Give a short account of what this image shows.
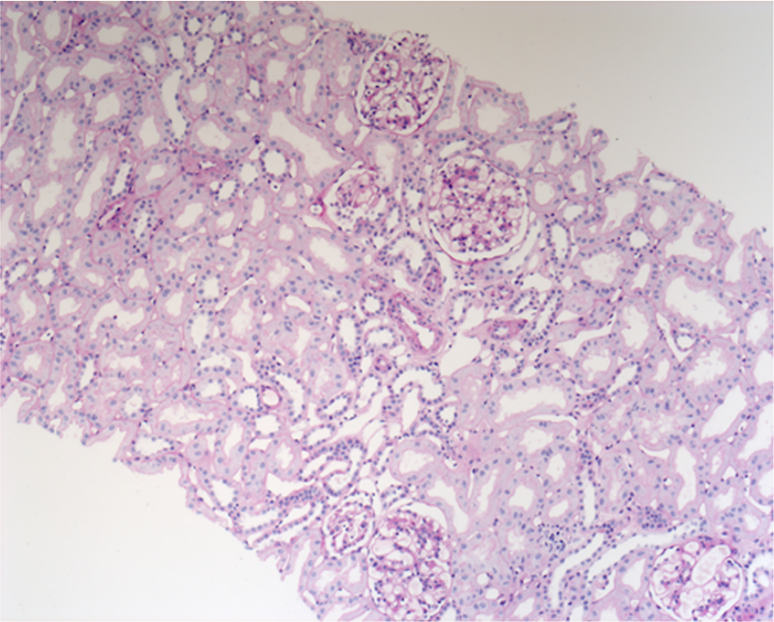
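This is a strip of kidney cortex at low magnification, stained pink with blue nuclei. Most of the field is packed with cut tubules, lined by cuboidal cells around small open lumens. Several round glomeruli lie among the tubules, each a dense tuft of capillary loops inside a thin capsule. Some of these tufts look large and fill their capsules, and some show pale, bubbly areas within the tuft. The tissue between the tubules is scant, with the tubules lying closely side by side.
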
